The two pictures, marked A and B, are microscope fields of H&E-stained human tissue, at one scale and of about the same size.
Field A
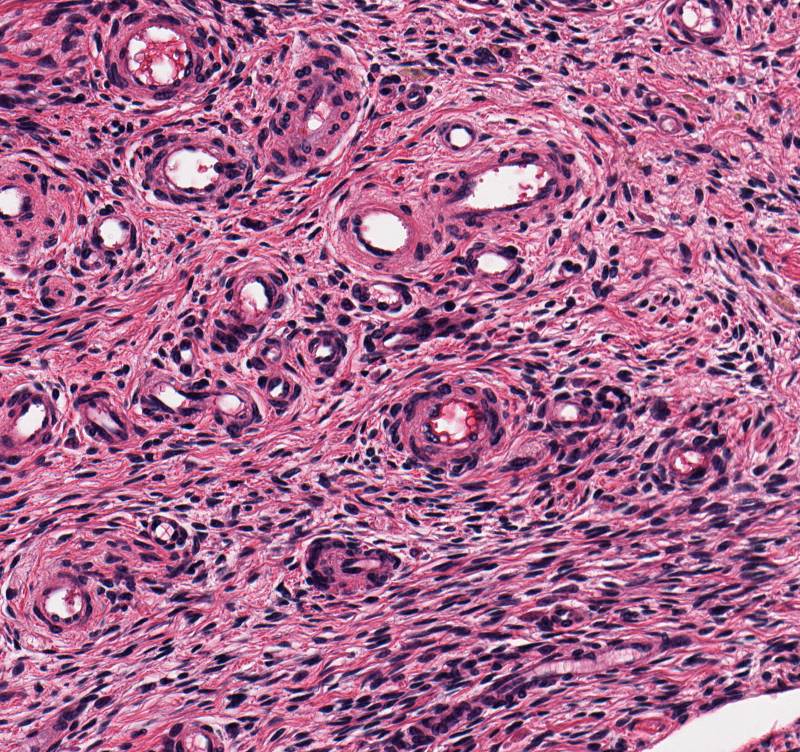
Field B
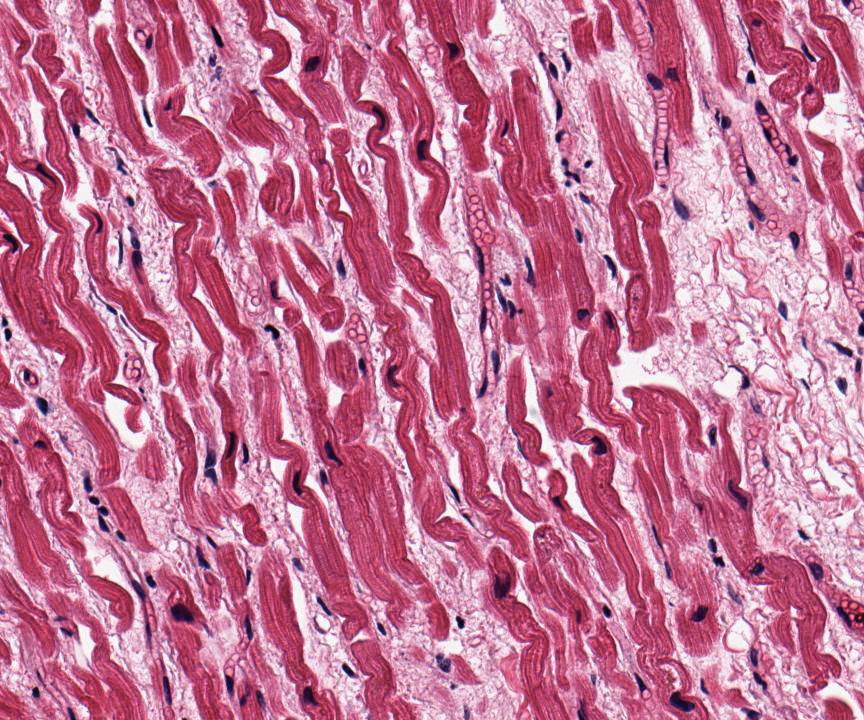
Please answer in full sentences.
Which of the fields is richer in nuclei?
More nuclei lie in field A than in field B.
